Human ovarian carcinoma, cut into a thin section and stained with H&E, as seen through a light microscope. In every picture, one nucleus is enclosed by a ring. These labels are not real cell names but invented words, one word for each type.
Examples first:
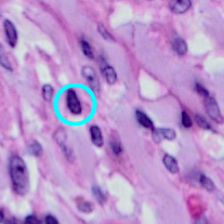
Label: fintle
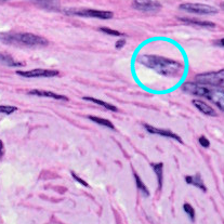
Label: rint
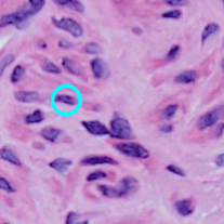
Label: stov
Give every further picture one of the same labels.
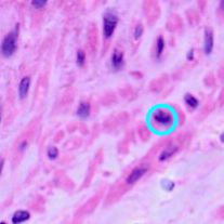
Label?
stov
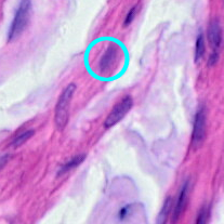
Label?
stov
